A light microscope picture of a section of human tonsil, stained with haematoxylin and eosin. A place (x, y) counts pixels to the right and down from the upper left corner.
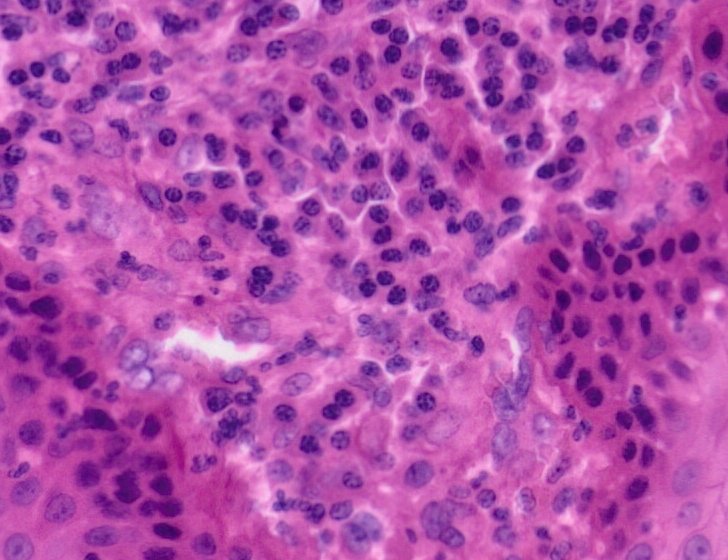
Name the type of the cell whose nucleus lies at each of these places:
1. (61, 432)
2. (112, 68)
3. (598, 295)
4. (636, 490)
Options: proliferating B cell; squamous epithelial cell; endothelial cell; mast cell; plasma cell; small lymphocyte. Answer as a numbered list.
1. squamous epithelial cell
2. plasma cell
3. squamous epithelial cell
4. squamous epithelial cell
